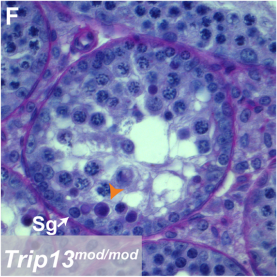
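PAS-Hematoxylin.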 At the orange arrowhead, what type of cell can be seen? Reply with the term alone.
condensed spermatocytes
